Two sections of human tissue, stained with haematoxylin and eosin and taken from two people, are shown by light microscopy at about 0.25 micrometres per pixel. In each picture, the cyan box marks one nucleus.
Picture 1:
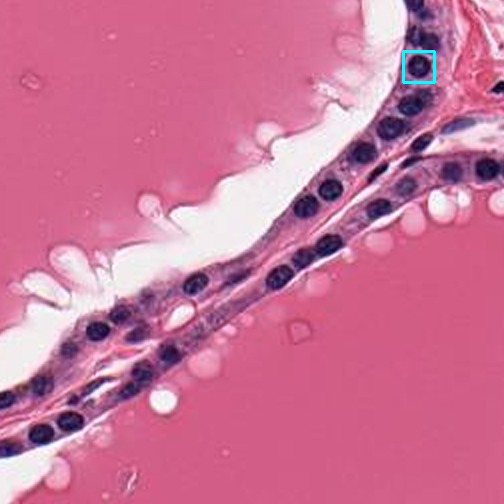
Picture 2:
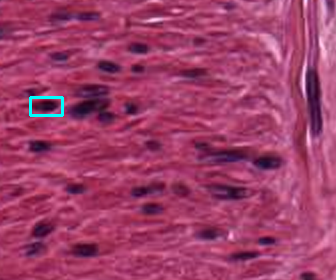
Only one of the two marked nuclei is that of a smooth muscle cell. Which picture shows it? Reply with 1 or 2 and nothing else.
2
